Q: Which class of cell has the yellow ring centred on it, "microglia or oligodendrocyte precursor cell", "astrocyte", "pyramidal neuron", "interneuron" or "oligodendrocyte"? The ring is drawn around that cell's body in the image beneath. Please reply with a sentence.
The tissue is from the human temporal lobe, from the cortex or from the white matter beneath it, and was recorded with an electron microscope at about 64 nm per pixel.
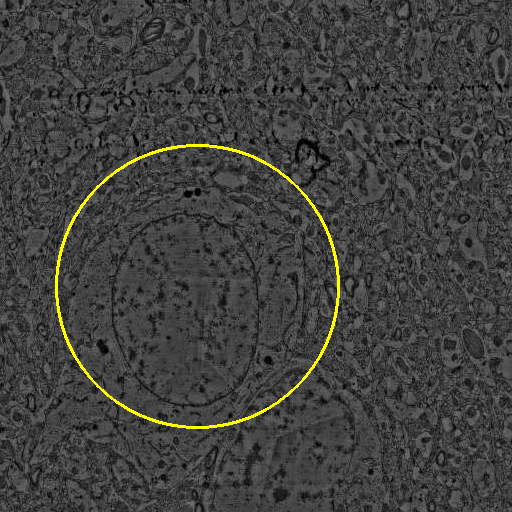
It is centred on a pyramidal neuron.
